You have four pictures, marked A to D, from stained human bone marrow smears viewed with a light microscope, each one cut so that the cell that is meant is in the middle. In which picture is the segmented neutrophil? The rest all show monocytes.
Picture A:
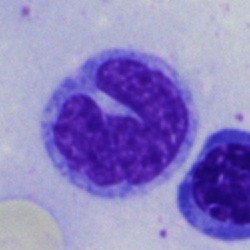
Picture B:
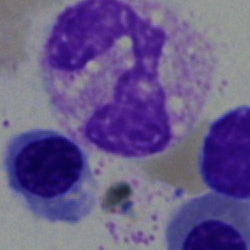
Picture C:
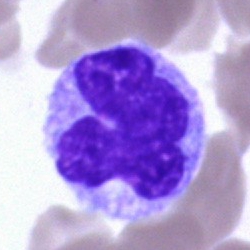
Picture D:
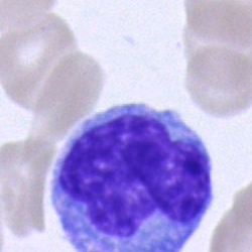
B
